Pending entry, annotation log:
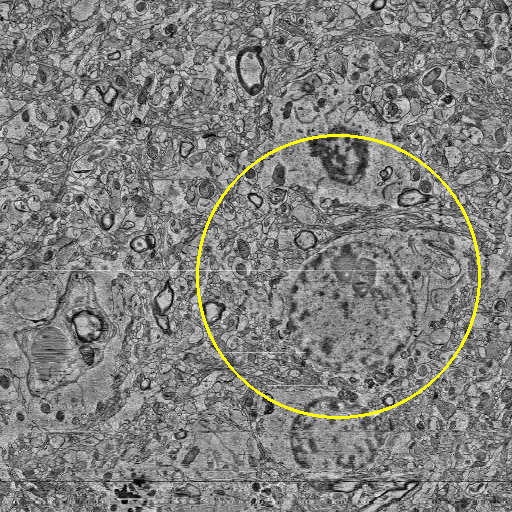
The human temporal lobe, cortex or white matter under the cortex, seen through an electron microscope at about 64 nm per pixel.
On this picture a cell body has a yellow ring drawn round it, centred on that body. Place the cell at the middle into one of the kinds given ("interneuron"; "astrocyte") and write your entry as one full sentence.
The cell body at the middle of the yellow ring belongs to an astrocyte.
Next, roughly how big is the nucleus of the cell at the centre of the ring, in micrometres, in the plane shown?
Approximately 8 micrometres across in this plane.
